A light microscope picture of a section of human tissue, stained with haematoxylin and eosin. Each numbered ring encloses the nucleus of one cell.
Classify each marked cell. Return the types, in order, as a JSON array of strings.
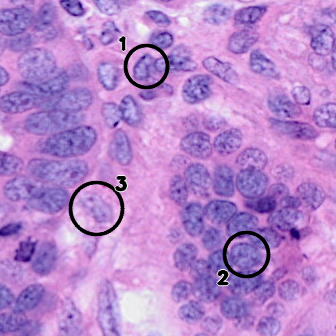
["endothelial cell", "carcinoma cell", "fibroblast"]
